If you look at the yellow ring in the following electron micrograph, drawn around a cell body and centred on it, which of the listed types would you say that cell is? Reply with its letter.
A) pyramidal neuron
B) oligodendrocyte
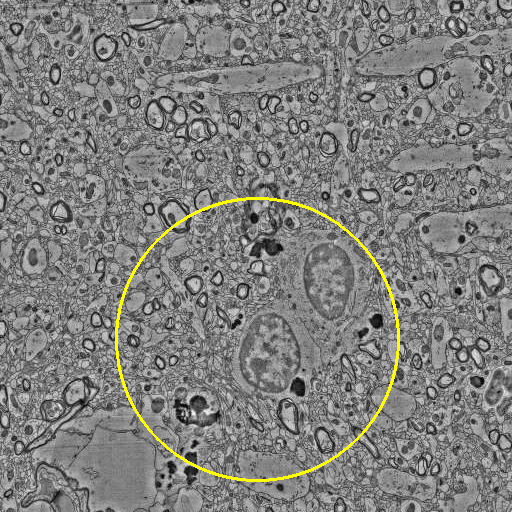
B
